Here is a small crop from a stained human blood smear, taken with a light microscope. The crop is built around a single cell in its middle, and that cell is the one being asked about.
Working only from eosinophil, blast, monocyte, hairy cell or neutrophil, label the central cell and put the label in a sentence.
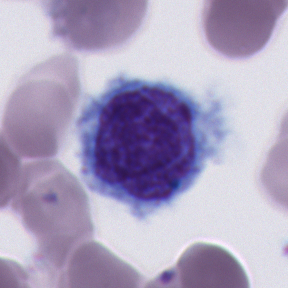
On this slide crop, the central cell is a monocyte.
